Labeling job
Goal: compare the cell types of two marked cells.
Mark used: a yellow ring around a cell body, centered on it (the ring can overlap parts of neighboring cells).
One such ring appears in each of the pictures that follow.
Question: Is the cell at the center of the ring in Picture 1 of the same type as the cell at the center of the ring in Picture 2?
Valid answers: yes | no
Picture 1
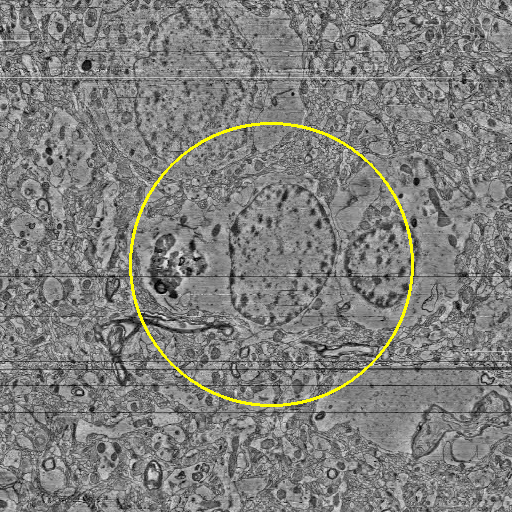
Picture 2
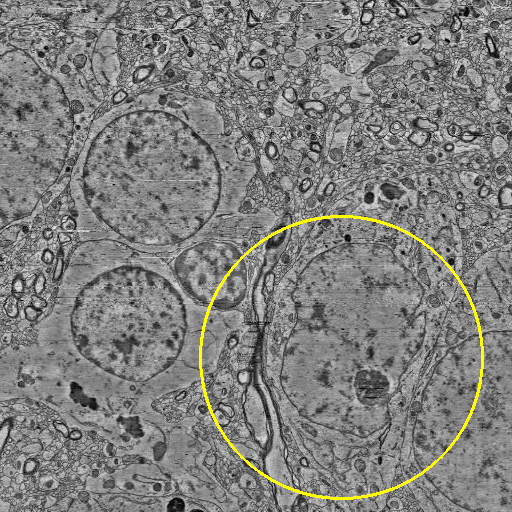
no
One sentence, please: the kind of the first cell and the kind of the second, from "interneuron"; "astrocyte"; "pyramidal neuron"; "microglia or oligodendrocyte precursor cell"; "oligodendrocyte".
The ring in the first picture surrounds an astrocyte, and the ring in the second surrounds a pyramidal neuron.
